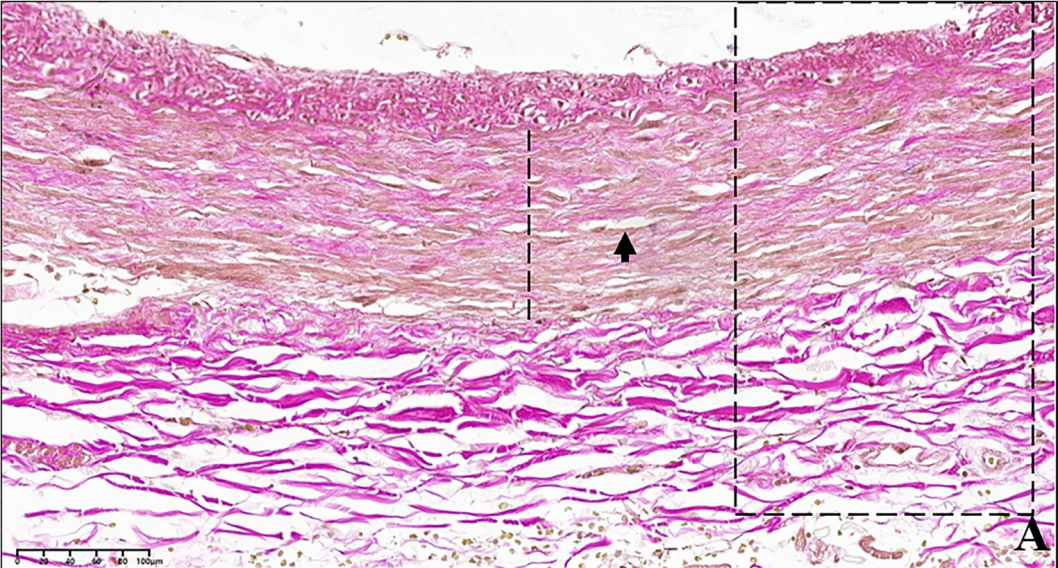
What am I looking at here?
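Numerous small elongated fissures run through the media in the same plane as the surface. Below, the adventitia consists of loose, wavy, strongly purple fibre bundles with wide spaces between them and scattered small vessels.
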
